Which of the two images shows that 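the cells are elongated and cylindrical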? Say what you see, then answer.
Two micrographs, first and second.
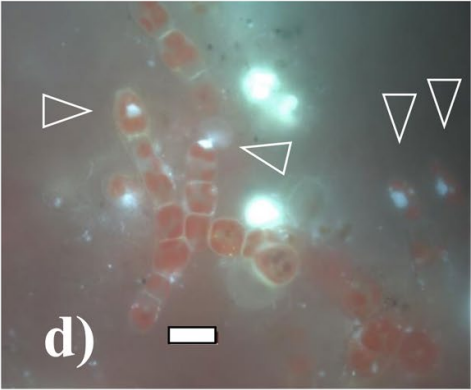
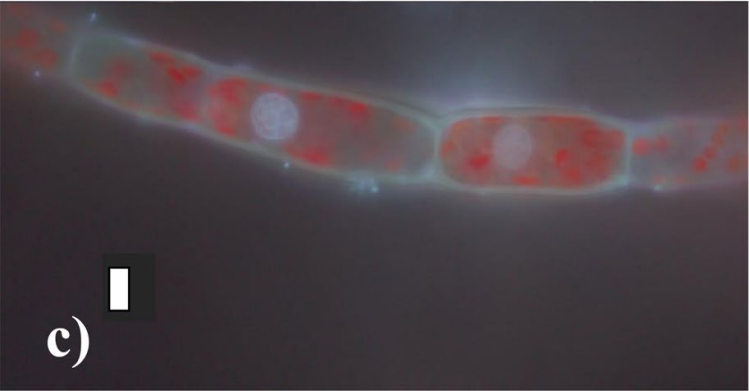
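First image: short, rounded to squarish cells in chains. Second image: long cylindrical cells joined end to end. So: the second image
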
